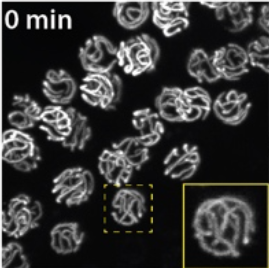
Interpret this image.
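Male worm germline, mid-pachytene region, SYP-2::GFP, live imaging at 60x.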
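Many round nuclei of similar size lie crowded together across the field, each a few micrometres across, against a dark background. The threads are of even thickness and run unbroken over long distances, rather than appearing as scattered dots. The enlarged nucleus in the inset shows several such threads winding around a roughly circular outline.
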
